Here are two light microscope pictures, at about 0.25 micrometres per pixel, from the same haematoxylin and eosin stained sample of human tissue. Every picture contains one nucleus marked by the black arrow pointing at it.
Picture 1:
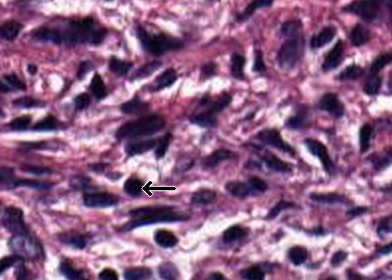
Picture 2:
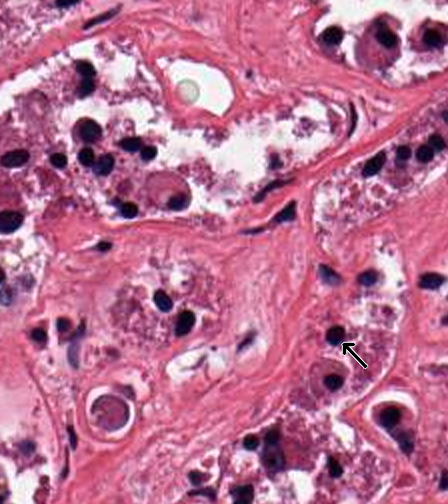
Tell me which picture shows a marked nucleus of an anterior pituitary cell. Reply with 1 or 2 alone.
2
